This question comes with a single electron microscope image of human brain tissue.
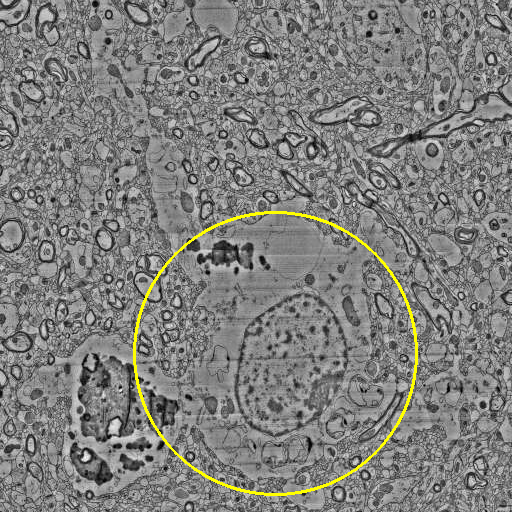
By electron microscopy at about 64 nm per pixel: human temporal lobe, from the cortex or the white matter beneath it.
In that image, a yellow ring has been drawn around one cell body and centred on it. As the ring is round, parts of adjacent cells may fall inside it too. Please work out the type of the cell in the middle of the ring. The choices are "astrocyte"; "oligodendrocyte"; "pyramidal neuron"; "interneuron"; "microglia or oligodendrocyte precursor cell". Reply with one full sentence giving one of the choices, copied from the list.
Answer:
Of the choices, an astrocyte is the cell sitting in the middle of the ring.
